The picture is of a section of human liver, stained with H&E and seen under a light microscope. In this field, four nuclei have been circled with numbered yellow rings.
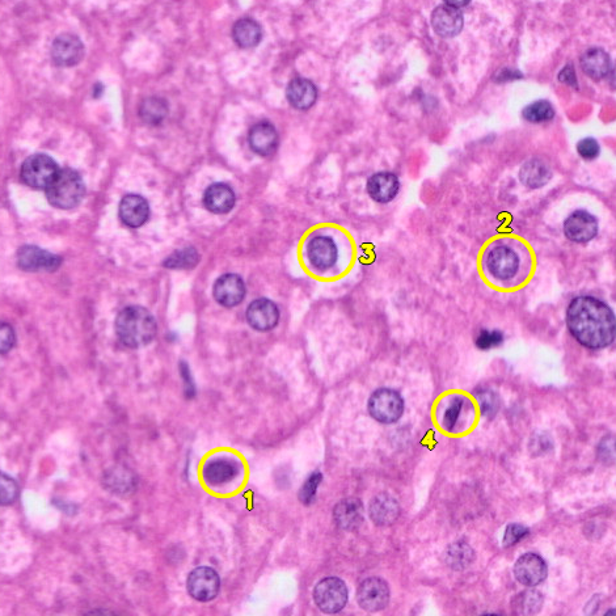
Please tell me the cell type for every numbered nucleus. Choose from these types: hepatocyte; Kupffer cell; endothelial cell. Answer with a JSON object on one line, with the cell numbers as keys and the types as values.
{"1": "Kupffer cell", "2": "hepatocyte", "3": "hepatocyte", "4": "endothelial cell"}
